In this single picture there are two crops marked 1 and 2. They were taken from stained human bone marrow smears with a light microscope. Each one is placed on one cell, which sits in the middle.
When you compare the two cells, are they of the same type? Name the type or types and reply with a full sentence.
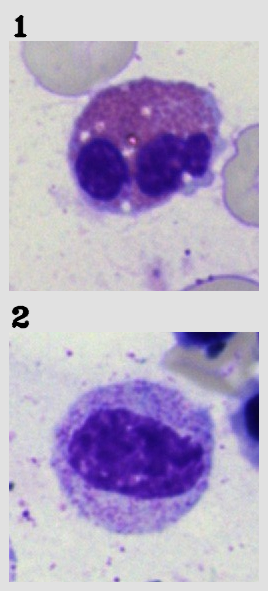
No, crop 1 shows an eosinophil, whereas in crop 2 the cell is a myelocyte.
